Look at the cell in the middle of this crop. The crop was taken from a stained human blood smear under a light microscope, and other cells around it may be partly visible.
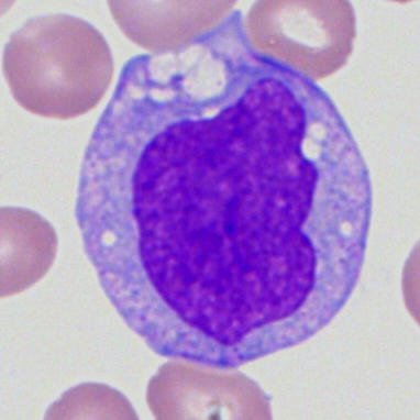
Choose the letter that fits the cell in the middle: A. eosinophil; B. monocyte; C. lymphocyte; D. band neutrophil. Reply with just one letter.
B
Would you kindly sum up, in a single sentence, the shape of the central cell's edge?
The periphery of this cell is uneven, with ragged portions or projections.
